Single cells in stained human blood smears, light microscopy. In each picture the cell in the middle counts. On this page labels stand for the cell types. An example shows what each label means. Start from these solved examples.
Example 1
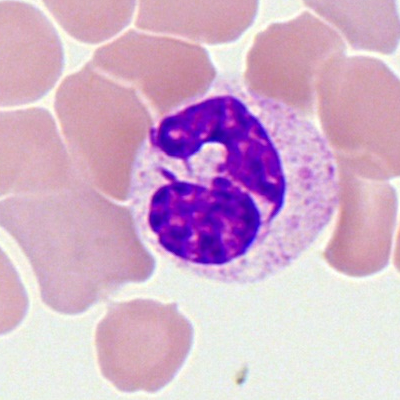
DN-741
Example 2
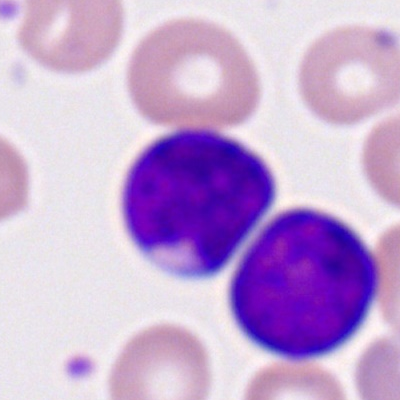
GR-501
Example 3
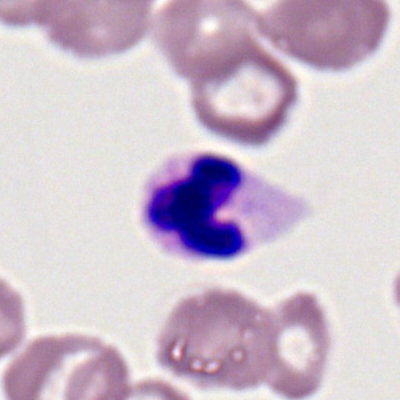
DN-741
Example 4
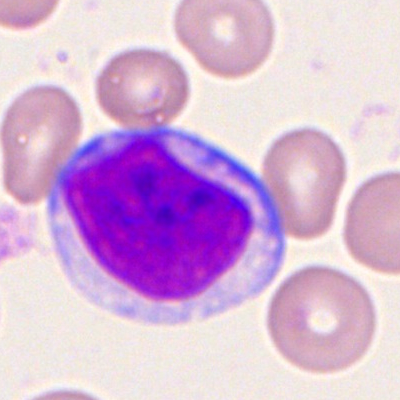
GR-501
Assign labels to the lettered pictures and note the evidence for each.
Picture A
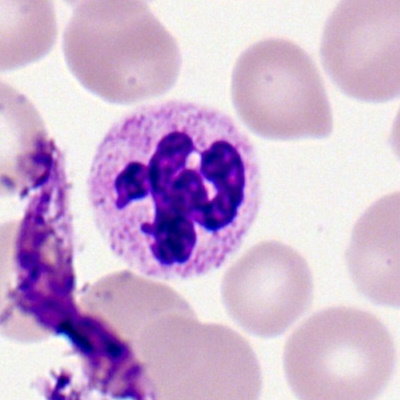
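DN-741. Evidence: The cytoplasm is plentiful and pale pink-lilac.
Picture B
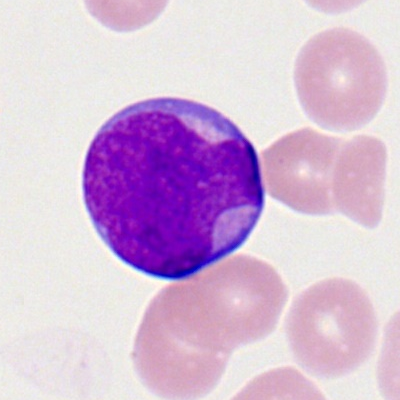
GR-501. Evidence: The cytoplasm at the cell's rim is deep blue.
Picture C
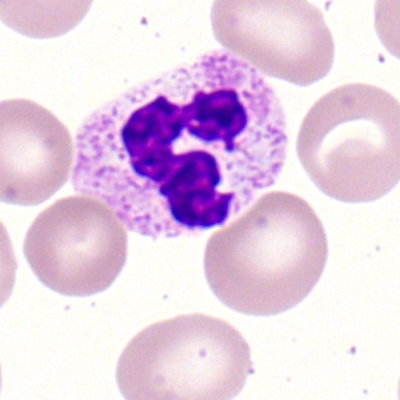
DN-741. Evidence: The cytoplasm is plentiful and pale pink-lilac.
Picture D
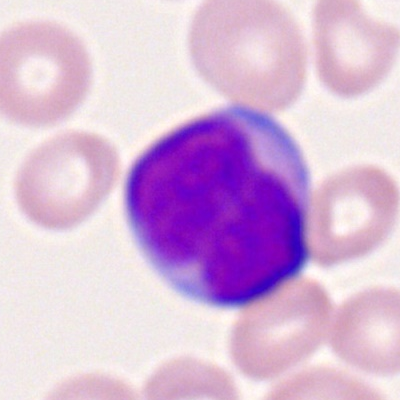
GR-501. Evidence: The nucleus fills most of the cell.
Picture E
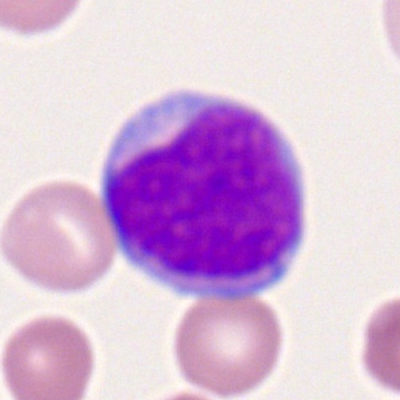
GR-501. Evidence: The nucleus fills most of the cell.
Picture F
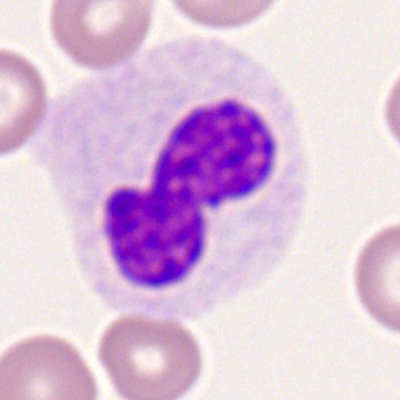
DN-741. Evidence: The cytoplasm is abundant and surrounds the nucleus on all sides.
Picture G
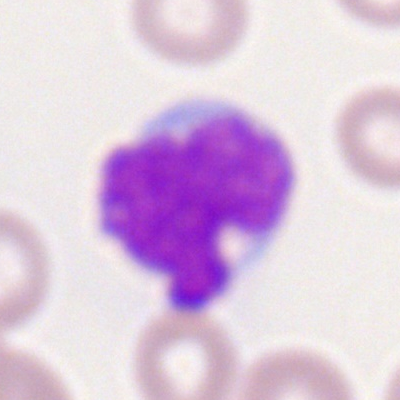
GR-501. Evidence: The cytoplasm is a scant pale blue rim, seen mostly along the upper edge of the cell.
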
